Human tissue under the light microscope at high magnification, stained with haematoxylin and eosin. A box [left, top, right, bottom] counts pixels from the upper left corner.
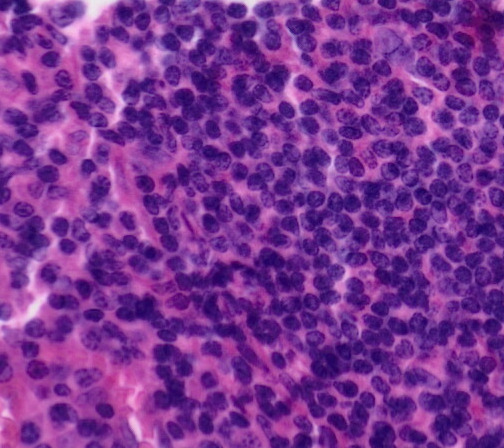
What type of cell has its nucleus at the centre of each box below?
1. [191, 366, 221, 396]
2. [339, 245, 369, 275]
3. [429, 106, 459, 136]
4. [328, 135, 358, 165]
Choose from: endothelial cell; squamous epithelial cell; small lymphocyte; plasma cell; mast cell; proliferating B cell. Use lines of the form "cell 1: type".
cell 1: plasma cell
cell 2: small lymphocyte
cell 3: small lymphocyte
cell 4: small lymphocyte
